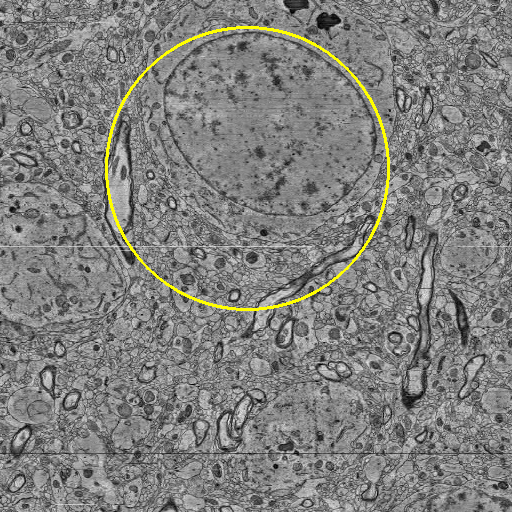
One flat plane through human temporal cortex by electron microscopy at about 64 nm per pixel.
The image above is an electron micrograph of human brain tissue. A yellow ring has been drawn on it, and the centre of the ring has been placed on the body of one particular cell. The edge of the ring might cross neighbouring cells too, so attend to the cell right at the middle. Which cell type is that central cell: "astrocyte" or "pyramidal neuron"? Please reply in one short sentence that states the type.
The central cell in the ring is a pyramidal neuron.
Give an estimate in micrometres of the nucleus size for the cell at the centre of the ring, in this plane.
The ringed cell's nucleus is about 14 micrometres long and 11 micrometres wide in this plane.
